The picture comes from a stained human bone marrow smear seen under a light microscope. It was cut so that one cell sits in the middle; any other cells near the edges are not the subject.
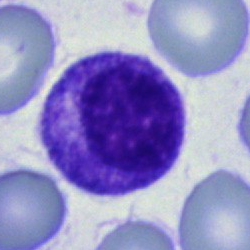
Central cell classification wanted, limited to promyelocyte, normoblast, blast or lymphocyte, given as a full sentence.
In the middle of this smear crop is a promyelocyte.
